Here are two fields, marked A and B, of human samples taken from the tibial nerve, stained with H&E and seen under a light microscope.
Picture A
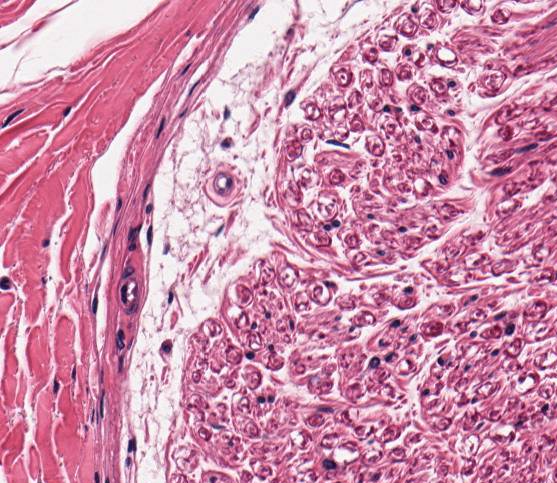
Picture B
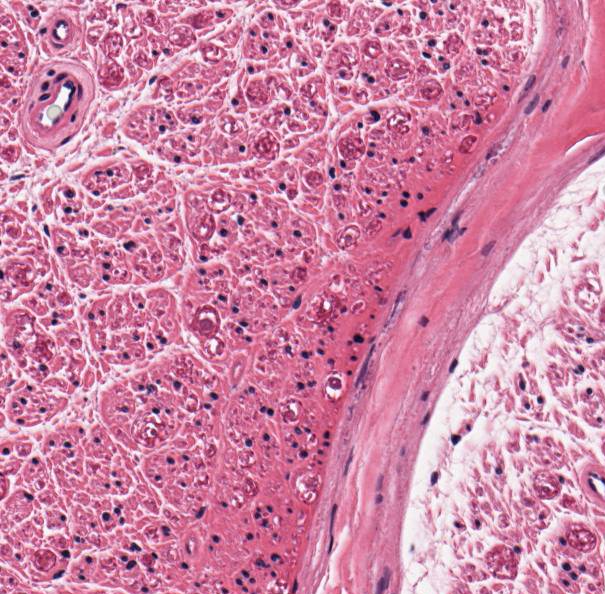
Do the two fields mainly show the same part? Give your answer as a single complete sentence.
Yes, the two fields both mainly show nerve fascicles.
